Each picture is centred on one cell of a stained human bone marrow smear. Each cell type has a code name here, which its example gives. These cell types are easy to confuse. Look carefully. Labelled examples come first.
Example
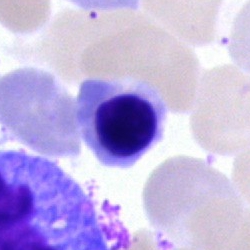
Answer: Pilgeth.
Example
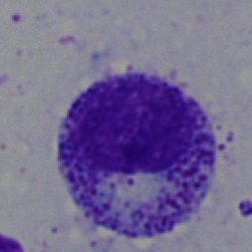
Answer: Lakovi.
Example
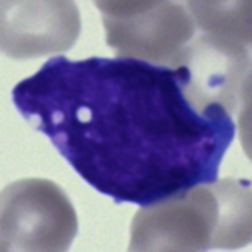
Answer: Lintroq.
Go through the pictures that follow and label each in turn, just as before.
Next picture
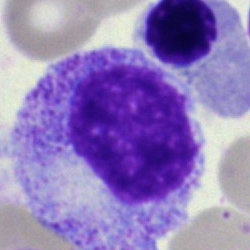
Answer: Lakovi.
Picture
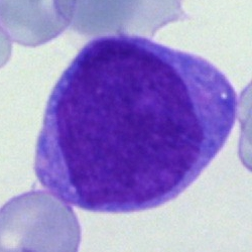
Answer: Lintroq.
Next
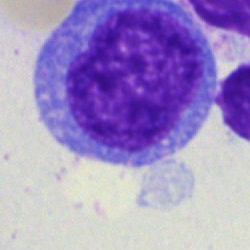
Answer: Lintroq.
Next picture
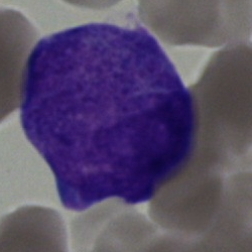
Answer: Lintroq.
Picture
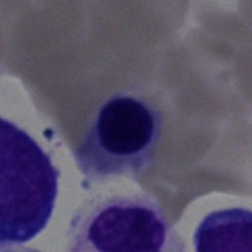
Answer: Pilgeth.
